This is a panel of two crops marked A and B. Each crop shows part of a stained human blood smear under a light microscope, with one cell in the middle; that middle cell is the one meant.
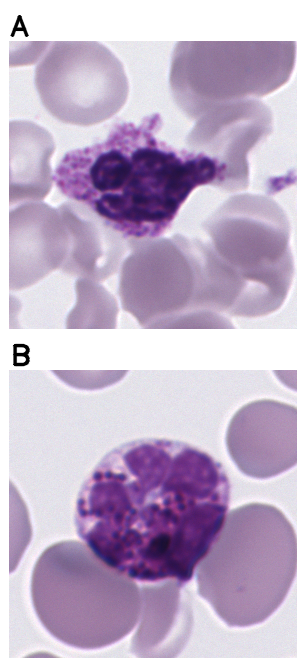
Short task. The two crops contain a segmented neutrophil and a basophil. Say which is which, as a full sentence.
Whereas crop A contains a segmented neutrophil, crop B contains a basophil.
